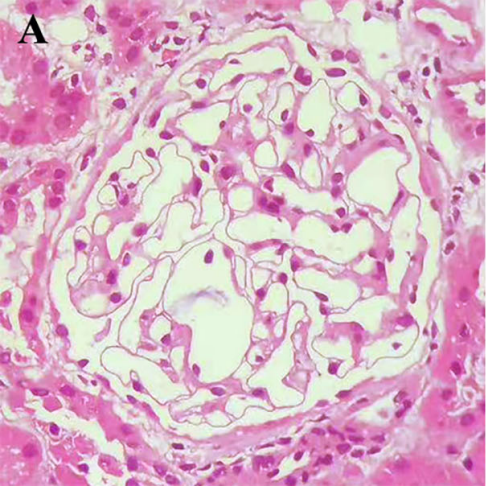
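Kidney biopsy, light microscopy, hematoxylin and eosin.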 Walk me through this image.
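A single glomerulus is cut through its tuft, with its capillary loops widely open and lined by thin, delicate pink walls. The mesangial areas between loops are slender and not widened. A clear urinary space separates the tuft from a thin capsule. Pink tubules with cuboidal epithelium and round nuclei surround the glomerulus.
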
